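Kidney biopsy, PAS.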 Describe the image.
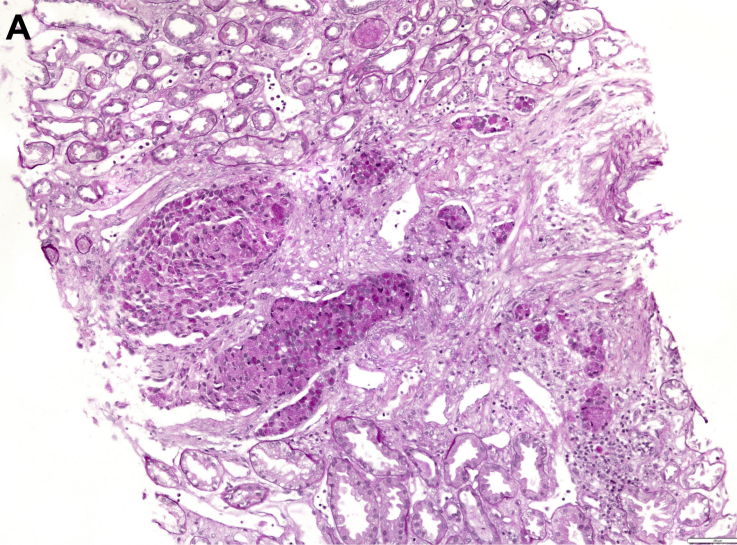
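Renal cortex infiltrated by tumor cells. Tubules with outlined basement membranes lie in the upper and lower parts of the section. Between them, large sheets and smaller clusters of tightly packed tumor cells stain deep magenta. These cells lie in widened, fibrous interstitium that also holds scattered inflammatory cells.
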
